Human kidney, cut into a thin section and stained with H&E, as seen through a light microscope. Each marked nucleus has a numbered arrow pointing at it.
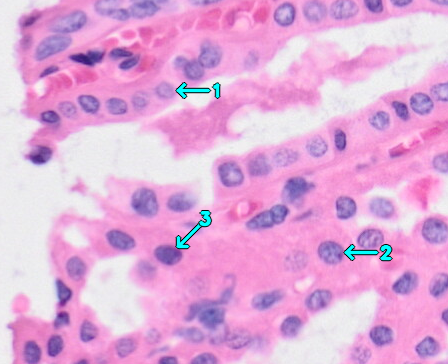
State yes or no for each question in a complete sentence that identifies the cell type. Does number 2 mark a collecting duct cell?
No, it is a loop of Henle or distal tubule cell that is marked with number 2, not a collecting duct cell.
